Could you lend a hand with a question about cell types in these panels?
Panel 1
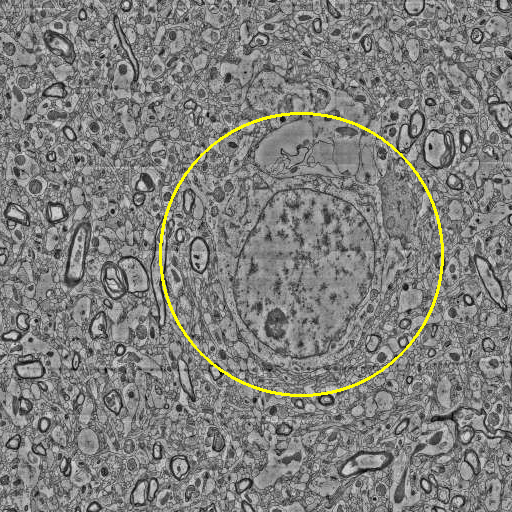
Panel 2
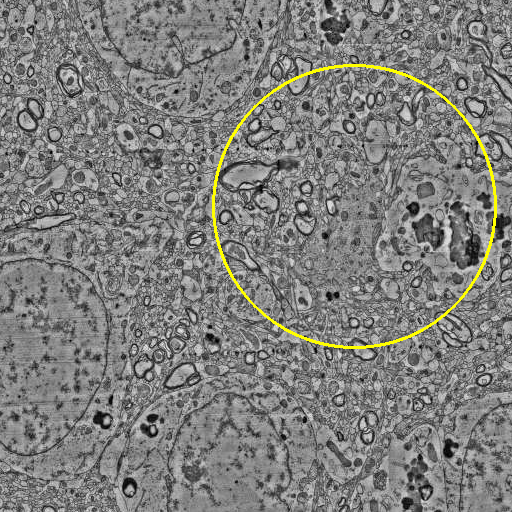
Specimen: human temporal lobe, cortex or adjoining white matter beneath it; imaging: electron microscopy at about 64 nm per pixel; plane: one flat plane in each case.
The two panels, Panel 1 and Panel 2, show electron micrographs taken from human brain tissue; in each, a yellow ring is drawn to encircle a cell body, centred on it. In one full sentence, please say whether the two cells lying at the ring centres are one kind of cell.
No, the cells at the ring centres in the two panels are two kinds of cell.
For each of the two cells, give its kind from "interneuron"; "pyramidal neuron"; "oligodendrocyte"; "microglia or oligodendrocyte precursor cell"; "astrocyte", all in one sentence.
The first picture has a pyramidal neuron in its ring, the second has an oligodendrocyte.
